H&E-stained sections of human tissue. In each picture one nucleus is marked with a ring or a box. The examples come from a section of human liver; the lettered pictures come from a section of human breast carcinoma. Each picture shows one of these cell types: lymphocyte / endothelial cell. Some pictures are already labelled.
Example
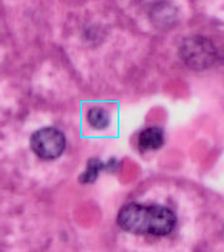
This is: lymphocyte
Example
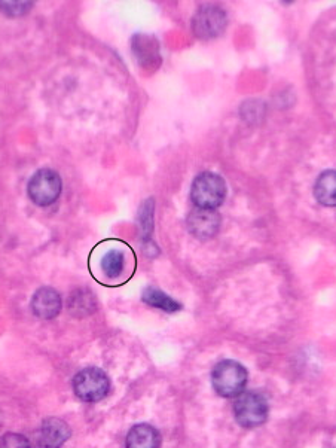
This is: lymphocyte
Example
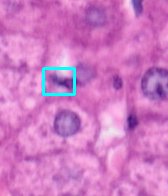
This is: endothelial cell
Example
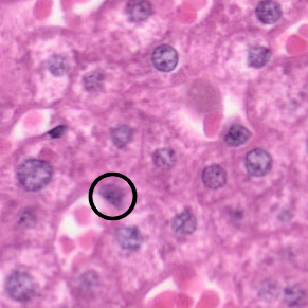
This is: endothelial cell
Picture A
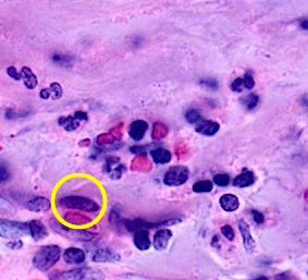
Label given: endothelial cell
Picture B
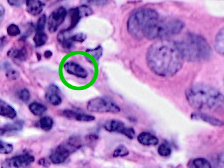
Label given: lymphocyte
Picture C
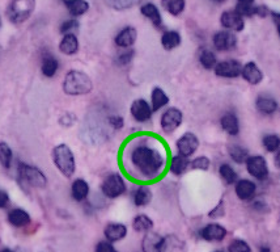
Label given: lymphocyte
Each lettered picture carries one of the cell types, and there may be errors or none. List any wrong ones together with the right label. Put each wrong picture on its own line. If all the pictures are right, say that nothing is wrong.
Nothing to fix; every label fits.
